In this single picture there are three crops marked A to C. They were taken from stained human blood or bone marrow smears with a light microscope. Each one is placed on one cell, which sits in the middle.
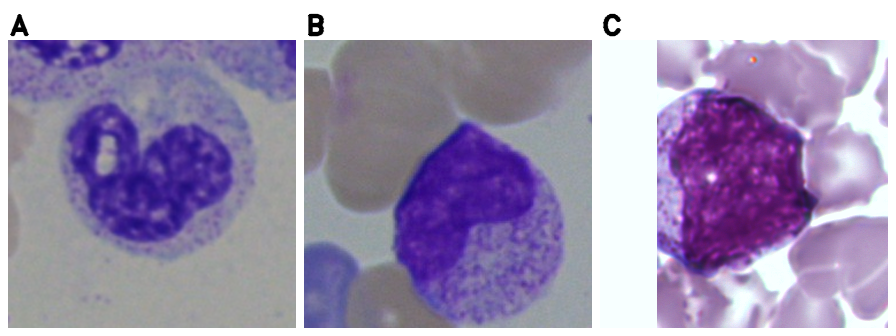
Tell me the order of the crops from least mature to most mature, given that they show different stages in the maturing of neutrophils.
C, B, A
